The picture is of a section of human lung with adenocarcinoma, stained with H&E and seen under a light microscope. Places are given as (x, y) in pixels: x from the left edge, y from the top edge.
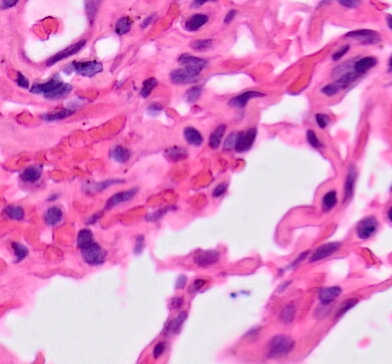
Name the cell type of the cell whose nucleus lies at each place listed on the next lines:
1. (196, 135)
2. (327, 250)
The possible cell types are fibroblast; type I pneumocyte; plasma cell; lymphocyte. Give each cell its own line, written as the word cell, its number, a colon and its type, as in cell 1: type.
cell 1: lymphocyte
cell 2: type I pneumocyte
